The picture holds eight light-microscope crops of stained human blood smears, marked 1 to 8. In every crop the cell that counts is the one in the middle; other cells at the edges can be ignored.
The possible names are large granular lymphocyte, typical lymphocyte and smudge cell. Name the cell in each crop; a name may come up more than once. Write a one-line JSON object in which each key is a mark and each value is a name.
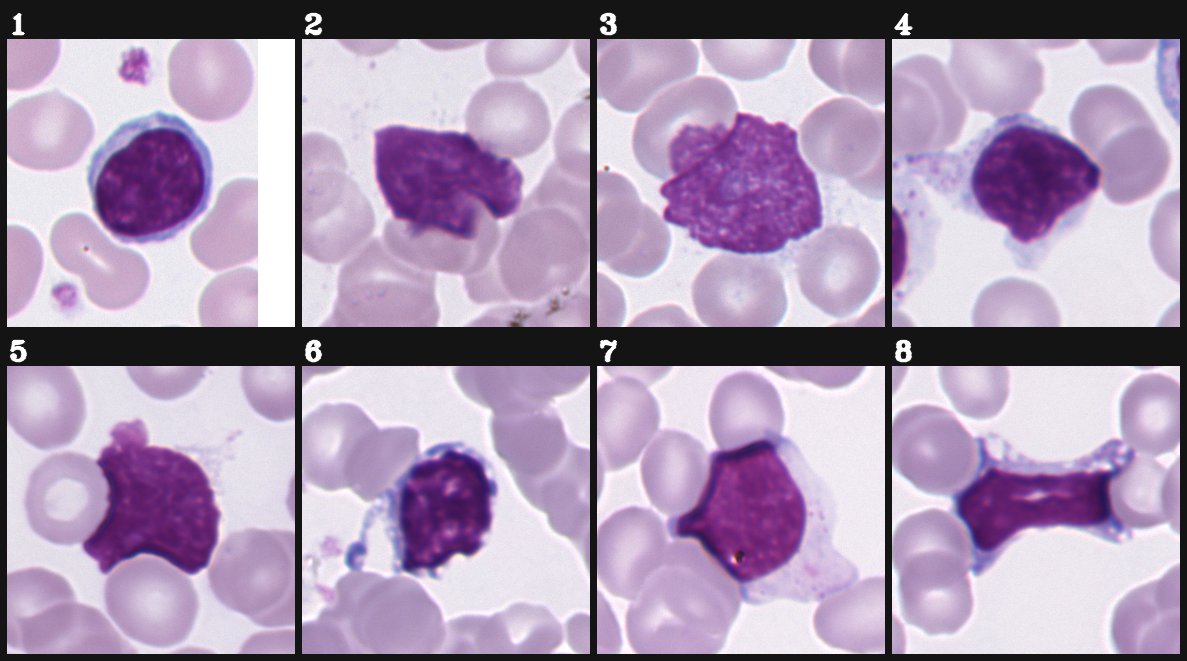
{"1": "typical lymphocyte", "2": "smudge cell", "3": "smudge cell", "4": "large granular lymphocyte", "5": "smudge cell", "6": "typical lymphocyte", "7": "large granular lymphocyte", "8": "typical lymphocyte"}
